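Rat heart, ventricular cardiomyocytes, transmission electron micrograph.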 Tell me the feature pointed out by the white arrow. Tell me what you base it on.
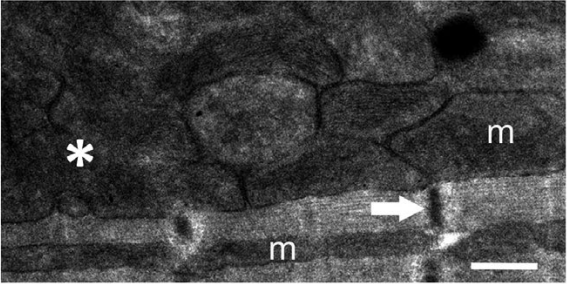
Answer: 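The arrow points to a short dark transverse band within a striated myofibril. That points to this answer: Z‐line.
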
